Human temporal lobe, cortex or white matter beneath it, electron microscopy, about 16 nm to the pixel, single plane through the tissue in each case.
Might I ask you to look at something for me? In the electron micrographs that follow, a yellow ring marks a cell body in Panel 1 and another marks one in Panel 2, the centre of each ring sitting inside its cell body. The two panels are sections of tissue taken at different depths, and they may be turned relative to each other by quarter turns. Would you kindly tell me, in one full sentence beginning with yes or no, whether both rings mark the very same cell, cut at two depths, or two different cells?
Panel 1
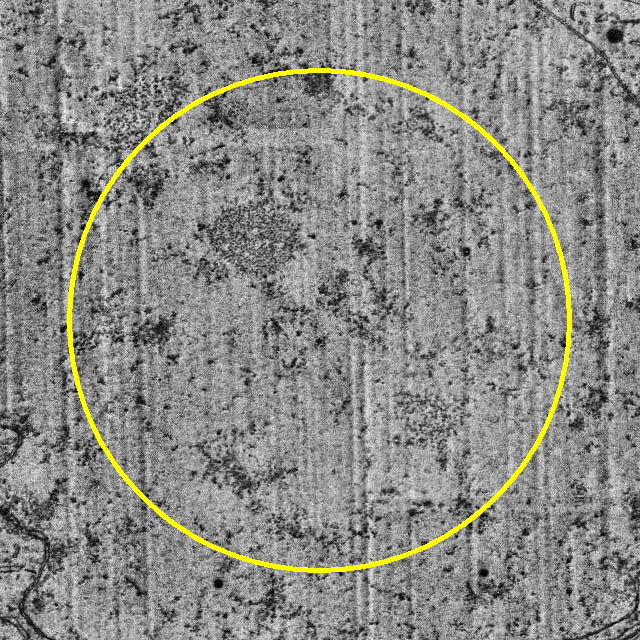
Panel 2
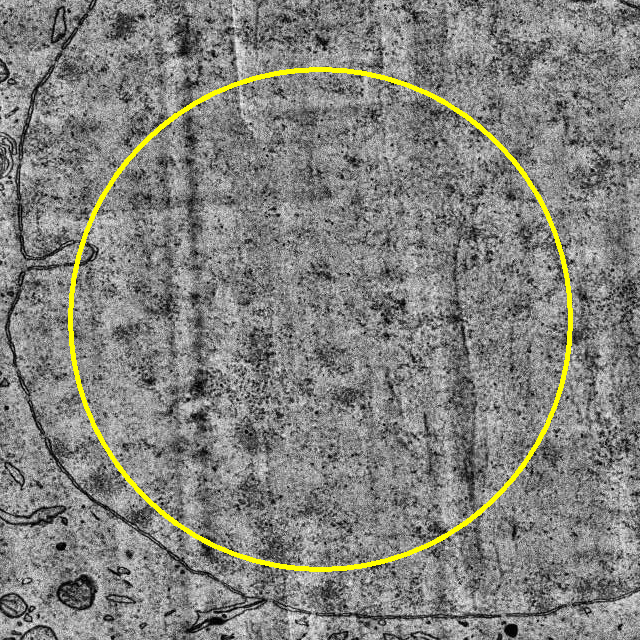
No, a single cell is not marked twice here; two cells are marked.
